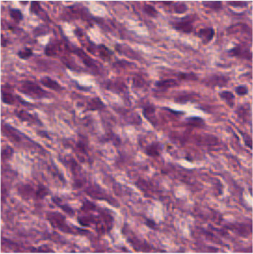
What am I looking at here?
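This is a densely cellular tumor made of spindle-shaped cells packed closely together in streaming, interlacing bundles. The cytoplasm is pink-purple and merges from cell to cell, so cell borders are hard to make out. The cells run mostly in one direction across the field in a fascicle-like pattern. Such crowding of elongated, hyperchromatic nuclei gives the tissue a highly cellular, malignant-looking appearance.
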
